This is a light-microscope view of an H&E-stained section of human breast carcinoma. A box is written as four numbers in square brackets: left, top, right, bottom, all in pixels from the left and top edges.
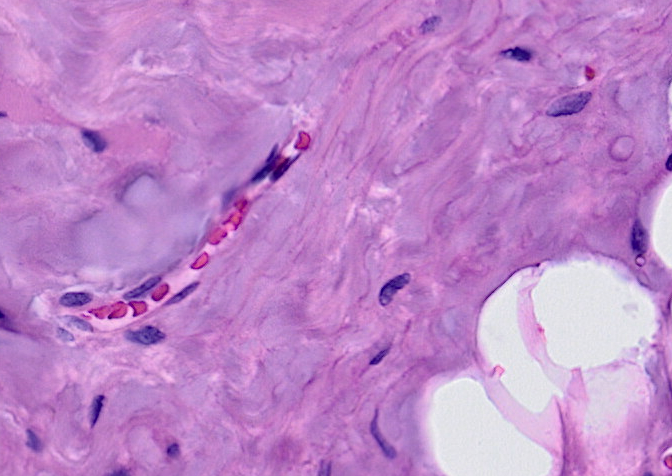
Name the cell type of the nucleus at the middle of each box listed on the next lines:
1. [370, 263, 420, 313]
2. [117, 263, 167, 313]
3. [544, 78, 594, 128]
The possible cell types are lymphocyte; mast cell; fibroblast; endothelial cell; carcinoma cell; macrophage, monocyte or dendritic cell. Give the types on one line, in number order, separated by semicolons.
fibroblast; endothelial cell; fibroblast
